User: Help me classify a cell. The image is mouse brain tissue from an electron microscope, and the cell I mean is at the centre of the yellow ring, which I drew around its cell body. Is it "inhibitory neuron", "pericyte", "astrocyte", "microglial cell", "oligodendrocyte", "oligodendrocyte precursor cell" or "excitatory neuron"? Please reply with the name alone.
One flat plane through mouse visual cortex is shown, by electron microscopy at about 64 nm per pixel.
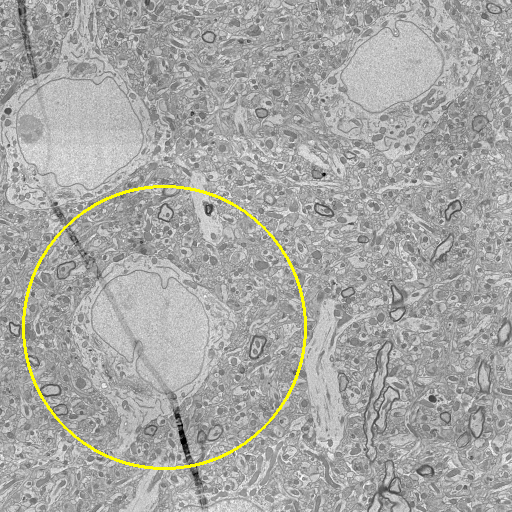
excitatory neuron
